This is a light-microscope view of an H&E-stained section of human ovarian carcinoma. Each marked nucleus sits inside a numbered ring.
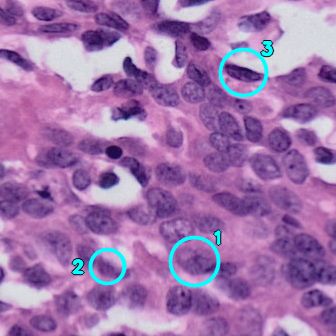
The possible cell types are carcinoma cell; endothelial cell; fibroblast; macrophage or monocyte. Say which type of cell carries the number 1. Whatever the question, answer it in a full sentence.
The cell that goes by number 1 is a carcinoma cell.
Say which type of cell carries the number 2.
Corresponding to a carcinoma cell is the cell labelled 2.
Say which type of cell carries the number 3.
Corresponding to a macrophage or monocyte is the cell labelled 3.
